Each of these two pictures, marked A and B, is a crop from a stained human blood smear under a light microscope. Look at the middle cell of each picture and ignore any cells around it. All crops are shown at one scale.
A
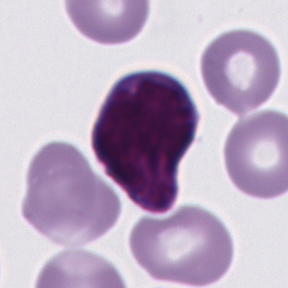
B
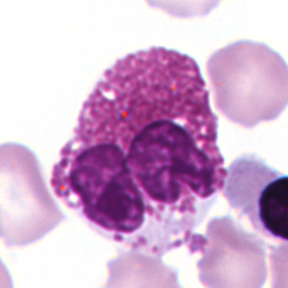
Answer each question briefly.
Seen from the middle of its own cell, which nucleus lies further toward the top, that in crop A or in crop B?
A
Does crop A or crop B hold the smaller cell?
A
